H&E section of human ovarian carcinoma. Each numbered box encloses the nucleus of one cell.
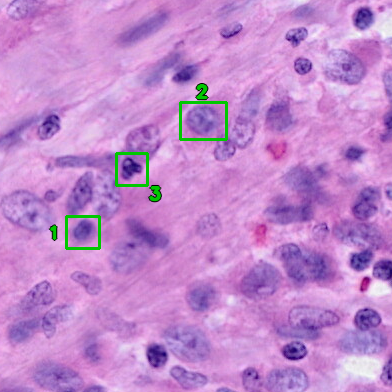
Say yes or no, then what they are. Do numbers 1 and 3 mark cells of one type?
Yes, the numbered cells 1 and 3 are both lymphocytes.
